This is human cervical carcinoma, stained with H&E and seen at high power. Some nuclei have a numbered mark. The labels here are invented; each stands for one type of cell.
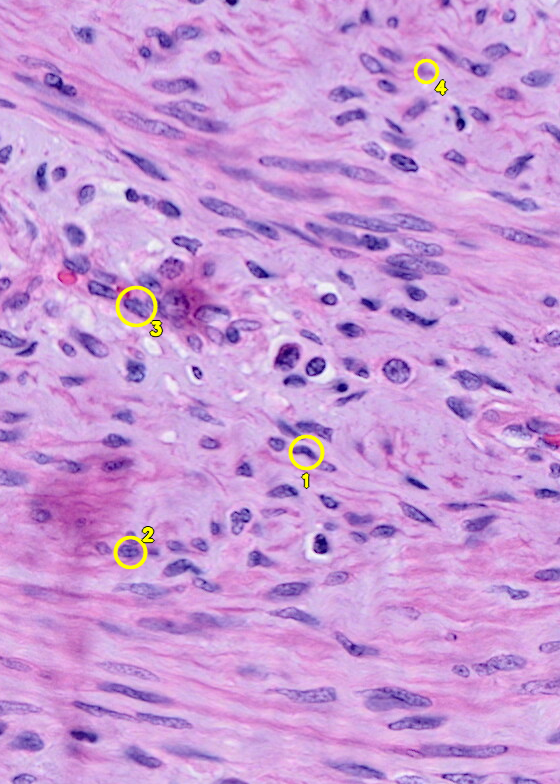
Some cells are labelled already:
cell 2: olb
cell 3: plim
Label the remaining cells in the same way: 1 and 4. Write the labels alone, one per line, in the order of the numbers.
olb
olb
